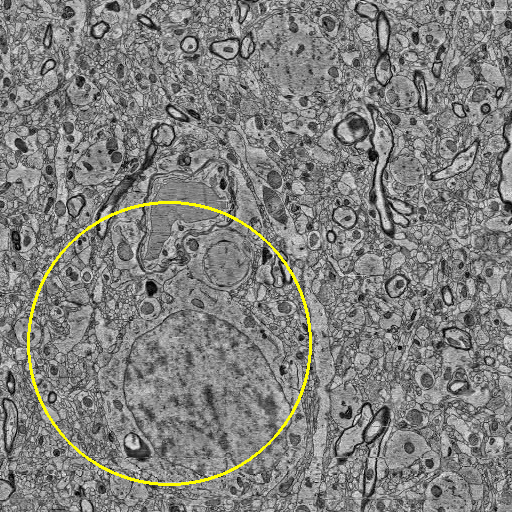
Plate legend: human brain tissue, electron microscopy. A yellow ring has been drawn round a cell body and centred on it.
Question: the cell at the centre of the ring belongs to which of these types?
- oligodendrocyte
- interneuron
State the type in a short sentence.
The cell in the middle of the ring is an interneuron.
